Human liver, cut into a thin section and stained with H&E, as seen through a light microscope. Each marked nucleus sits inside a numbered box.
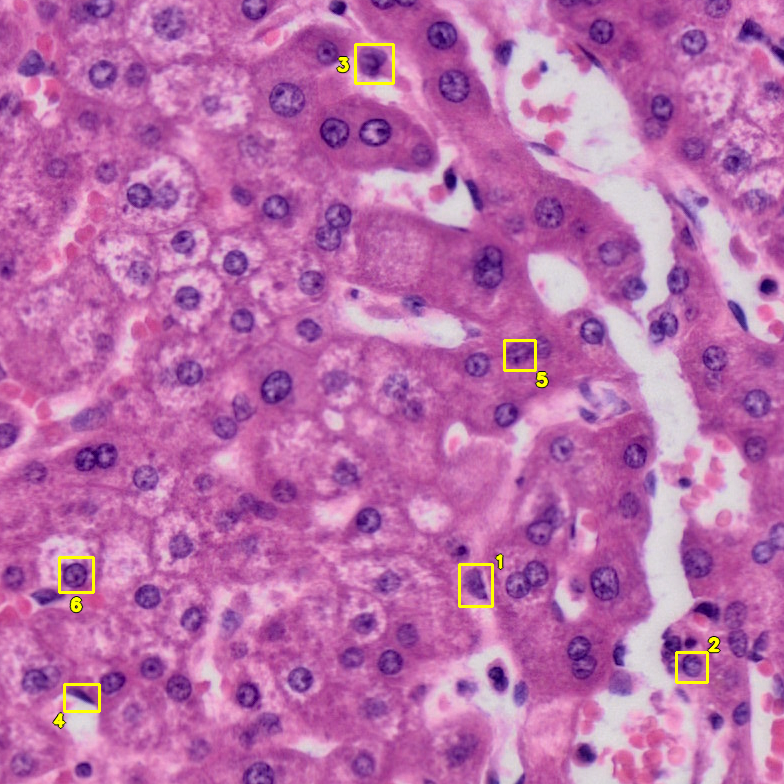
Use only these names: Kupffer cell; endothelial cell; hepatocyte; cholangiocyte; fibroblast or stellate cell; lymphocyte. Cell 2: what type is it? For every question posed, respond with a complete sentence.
The numbered cell 2 is identified here as a cholangiocyte.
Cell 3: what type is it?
As for number 3, that cell is a Kupffer cell.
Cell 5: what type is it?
Here the cell numbered 5 is a hepatocyte.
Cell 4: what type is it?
Number 4 is placed on an endothelial cell here.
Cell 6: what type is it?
The numbered cell 6 is identified here as a hepatocyte.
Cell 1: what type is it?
Recognised here as an endothelial cell is the cell numbered 1.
